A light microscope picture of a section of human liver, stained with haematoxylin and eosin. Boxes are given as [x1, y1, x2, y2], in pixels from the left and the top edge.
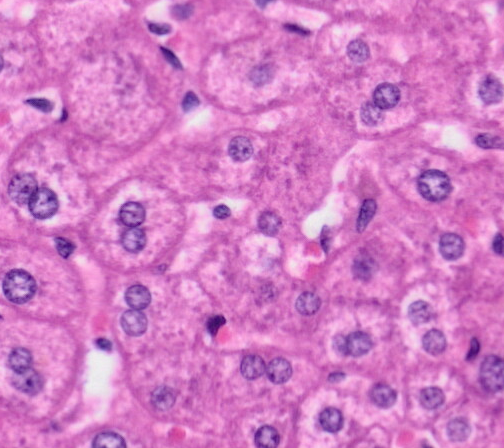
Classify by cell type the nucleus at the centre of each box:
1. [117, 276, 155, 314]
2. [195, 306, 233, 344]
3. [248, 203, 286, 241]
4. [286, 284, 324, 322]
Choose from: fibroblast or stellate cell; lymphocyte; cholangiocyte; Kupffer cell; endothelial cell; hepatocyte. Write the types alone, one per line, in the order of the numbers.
hepatocyte
endothelial cell
hepatocyte
hepatocyte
